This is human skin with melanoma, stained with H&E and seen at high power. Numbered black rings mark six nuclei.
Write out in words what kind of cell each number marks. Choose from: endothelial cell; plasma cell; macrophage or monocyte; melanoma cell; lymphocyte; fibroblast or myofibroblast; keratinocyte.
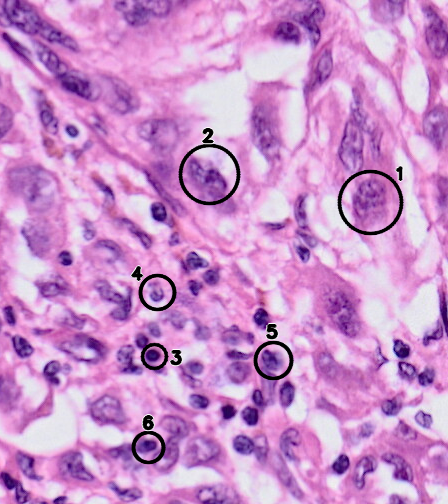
Cells 1 and 2 are melanoma cells. Cells 3, 4, 5 and 6 are lymphocytes.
